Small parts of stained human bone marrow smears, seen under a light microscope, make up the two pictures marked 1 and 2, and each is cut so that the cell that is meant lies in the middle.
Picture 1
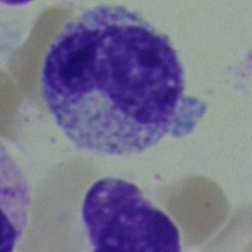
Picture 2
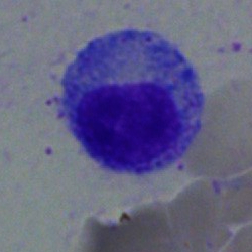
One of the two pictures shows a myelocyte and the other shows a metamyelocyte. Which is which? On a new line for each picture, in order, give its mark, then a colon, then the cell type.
1: metamyelocyte
2: myelocyte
